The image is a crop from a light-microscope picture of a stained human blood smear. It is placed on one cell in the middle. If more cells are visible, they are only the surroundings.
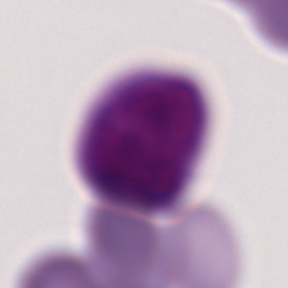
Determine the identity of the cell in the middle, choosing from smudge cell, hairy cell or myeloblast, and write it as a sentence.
By type, the central cell of the crop is a smudge cell.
